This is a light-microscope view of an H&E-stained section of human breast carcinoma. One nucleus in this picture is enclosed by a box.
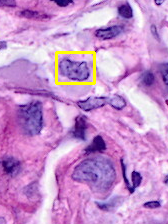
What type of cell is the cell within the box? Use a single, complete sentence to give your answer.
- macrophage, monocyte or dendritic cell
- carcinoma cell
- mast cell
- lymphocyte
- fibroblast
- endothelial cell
By cell type, the cell within the box is a macrophage, monocyte or dendritic cell.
